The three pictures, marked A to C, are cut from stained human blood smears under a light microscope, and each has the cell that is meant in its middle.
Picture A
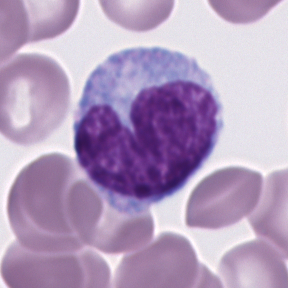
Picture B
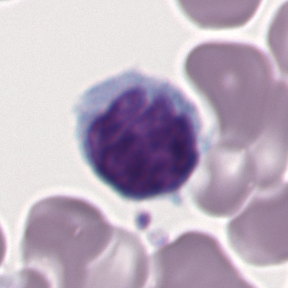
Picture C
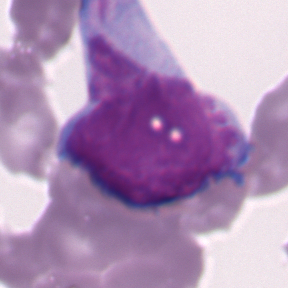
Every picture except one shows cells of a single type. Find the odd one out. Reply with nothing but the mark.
C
